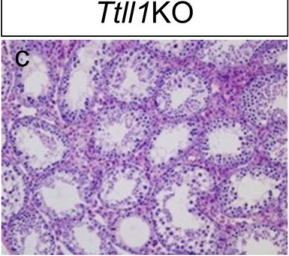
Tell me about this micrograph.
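These are cross-sections of seminiferous tubules in testis, but their lining looks unlike a full, compact epithelium. The purple-nucleated cell layers are thinner and patchy, broken by pale, empty-looking gaps and vacuole-like spaces. Lumens are wide and irregular in outline, and in several tubules little pink material fills the centre. Between tubules the interstitial spaces look pinker and somewhat more prominent. Overall the tubules keep their round outlines, yet the germinal epithelium within them appears disrupted, with visible loss of cells from its layers.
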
